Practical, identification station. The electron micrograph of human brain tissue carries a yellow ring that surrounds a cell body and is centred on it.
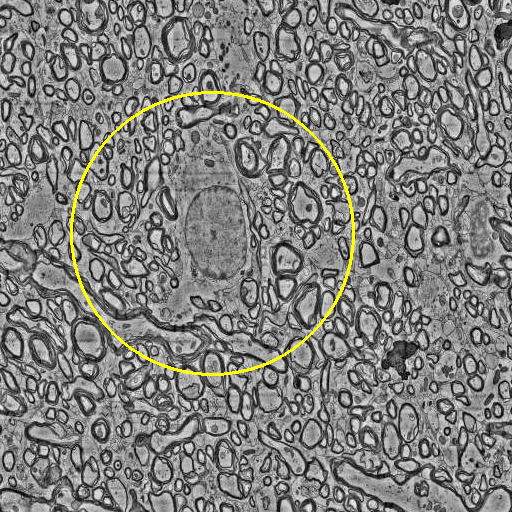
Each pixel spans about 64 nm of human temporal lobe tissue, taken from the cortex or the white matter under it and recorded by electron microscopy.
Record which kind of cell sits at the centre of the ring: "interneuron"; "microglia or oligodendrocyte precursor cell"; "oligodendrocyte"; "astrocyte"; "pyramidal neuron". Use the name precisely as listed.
astrocyte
